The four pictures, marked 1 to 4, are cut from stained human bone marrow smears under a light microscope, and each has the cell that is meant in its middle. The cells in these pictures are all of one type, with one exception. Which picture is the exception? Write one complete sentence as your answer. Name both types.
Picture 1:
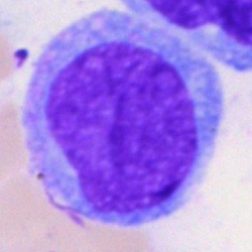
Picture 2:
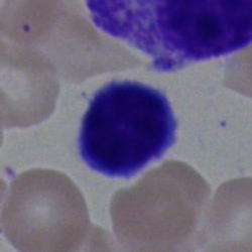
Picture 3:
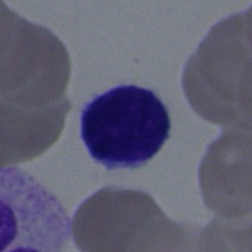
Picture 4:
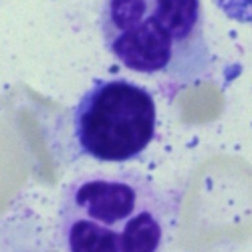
Unlike the rest, which show lymphocytes, picture 1 shows a blast.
